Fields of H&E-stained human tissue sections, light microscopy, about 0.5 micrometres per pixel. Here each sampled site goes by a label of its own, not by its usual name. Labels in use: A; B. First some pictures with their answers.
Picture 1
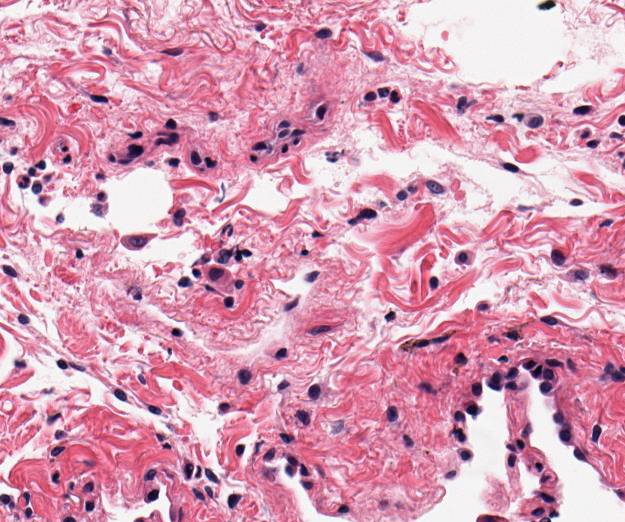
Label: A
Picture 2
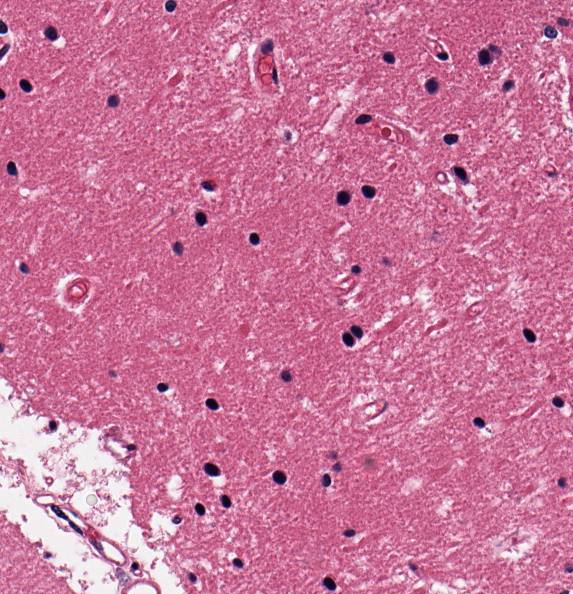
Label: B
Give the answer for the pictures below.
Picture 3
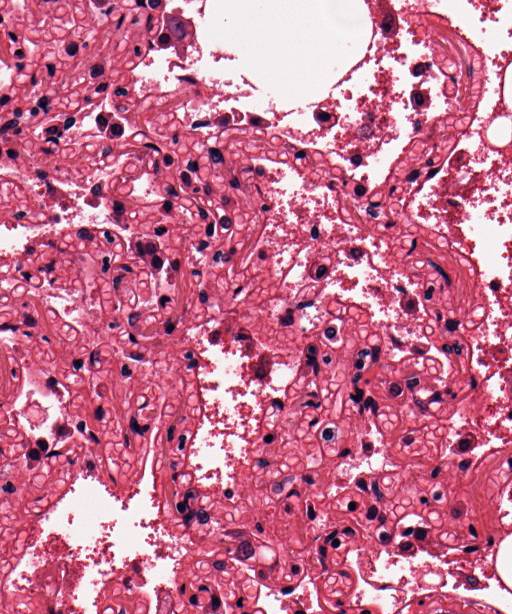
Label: A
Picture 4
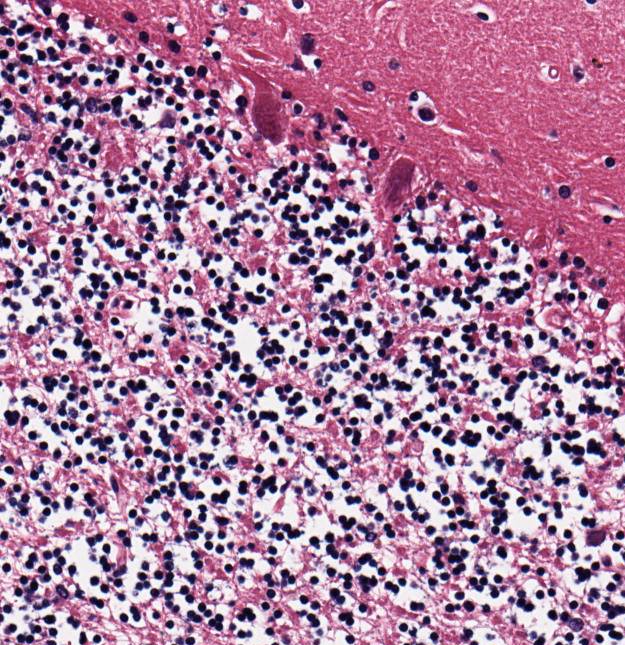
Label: B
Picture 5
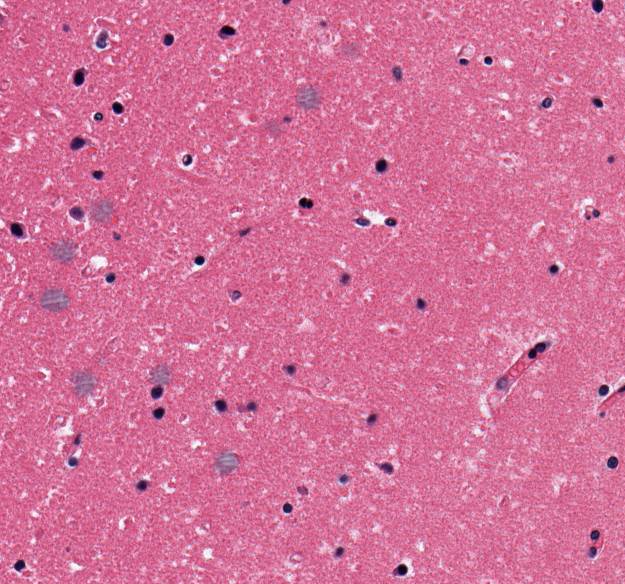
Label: B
